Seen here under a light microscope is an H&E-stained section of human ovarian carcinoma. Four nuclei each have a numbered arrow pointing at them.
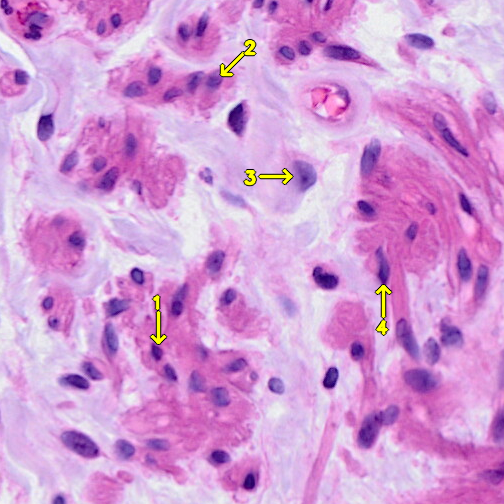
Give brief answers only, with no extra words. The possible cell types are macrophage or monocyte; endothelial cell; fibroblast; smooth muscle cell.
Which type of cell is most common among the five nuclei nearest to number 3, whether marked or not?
smooth muscle cell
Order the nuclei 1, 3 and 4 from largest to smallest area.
3, 4, 1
